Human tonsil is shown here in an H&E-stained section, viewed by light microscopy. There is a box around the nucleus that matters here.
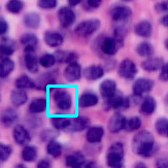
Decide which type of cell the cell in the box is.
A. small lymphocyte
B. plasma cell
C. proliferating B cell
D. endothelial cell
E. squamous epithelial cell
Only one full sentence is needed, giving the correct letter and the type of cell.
The item is answered by option A: the cell in the box is a small lymphocyte.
